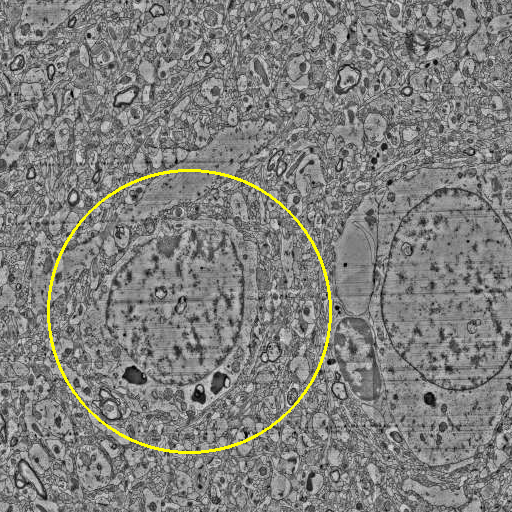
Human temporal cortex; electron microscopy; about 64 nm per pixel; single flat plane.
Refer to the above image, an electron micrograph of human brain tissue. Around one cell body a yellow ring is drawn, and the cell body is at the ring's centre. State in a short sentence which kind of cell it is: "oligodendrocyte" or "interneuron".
The centre of the ring falls on an interneuron.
